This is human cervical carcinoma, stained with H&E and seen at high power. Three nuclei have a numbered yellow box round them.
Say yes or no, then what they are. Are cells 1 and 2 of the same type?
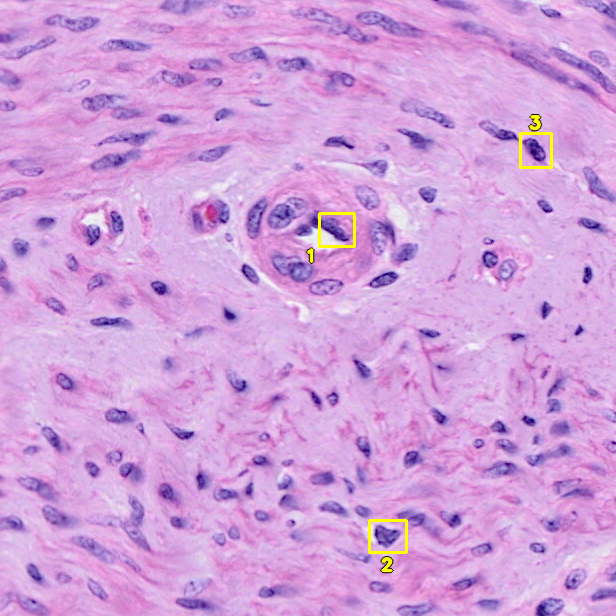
No, cell 1 is an endothelial cell and cell 2 is a lymphocyte.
